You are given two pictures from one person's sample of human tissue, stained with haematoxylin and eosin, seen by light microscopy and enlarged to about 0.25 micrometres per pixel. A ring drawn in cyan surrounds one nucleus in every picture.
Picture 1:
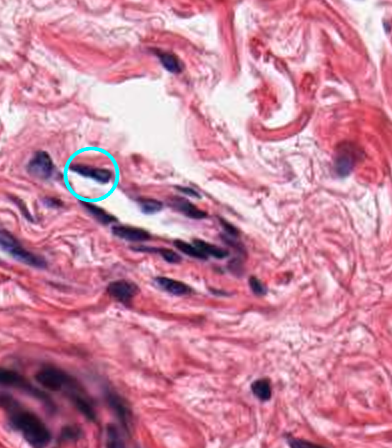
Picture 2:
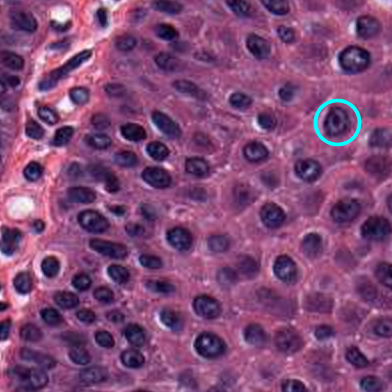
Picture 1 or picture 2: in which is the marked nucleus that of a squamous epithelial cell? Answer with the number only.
2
